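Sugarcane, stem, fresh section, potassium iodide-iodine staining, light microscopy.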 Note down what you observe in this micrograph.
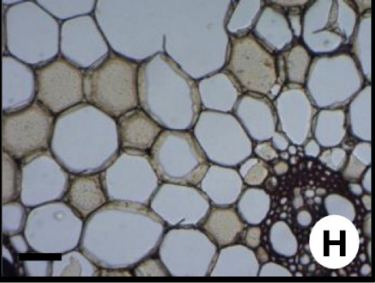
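The parenchyma cells are large, polygonal and thin-walled, fitted closely together with small gaps at some corners. At lower right a vascular bundle appears as a compact group of small cells with thick dark walls. Cells next to the bundle are smaller than those farther away.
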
